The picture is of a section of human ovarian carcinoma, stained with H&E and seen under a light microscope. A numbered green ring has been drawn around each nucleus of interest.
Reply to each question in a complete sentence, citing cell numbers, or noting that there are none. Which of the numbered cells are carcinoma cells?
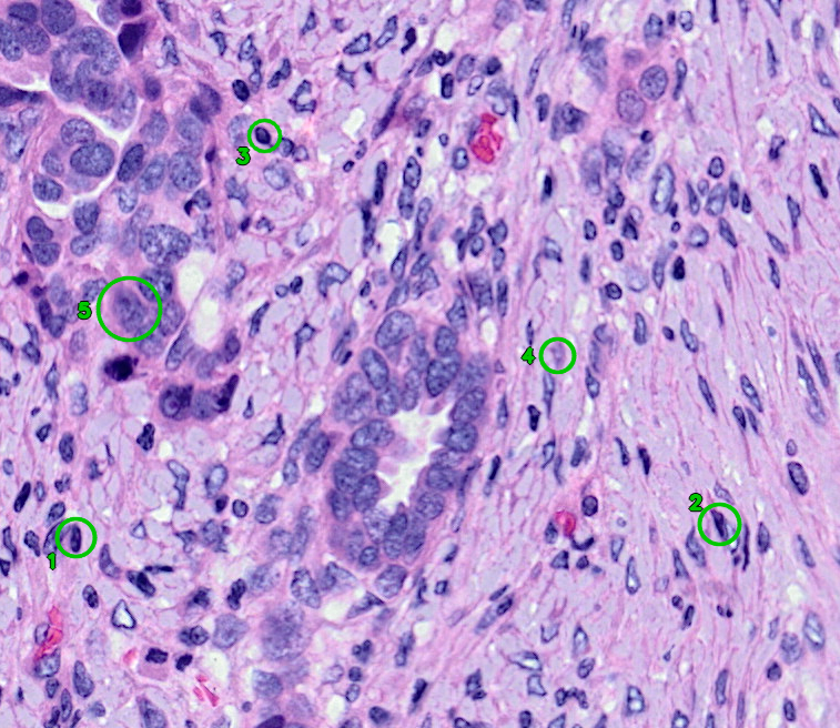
Only number 5 is a carcinoma cell; none of the others are.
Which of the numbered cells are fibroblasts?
Cells 2 and 4 are fibroblasts by cell type.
